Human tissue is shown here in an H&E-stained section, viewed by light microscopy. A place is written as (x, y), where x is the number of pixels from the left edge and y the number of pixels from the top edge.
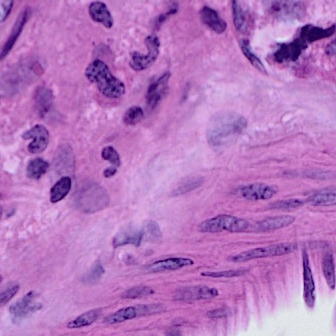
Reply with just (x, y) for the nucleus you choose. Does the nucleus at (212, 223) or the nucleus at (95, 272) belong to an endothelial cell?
(212, 223)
